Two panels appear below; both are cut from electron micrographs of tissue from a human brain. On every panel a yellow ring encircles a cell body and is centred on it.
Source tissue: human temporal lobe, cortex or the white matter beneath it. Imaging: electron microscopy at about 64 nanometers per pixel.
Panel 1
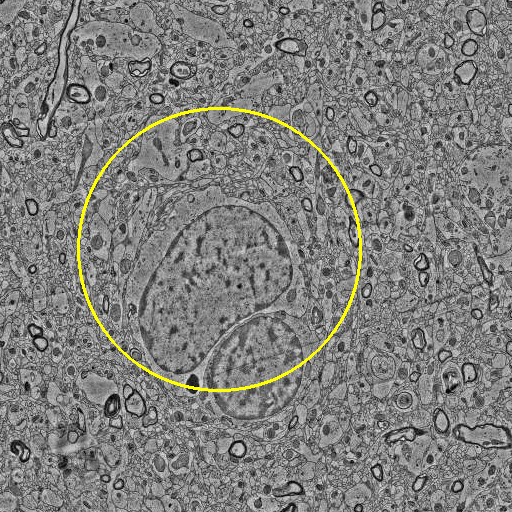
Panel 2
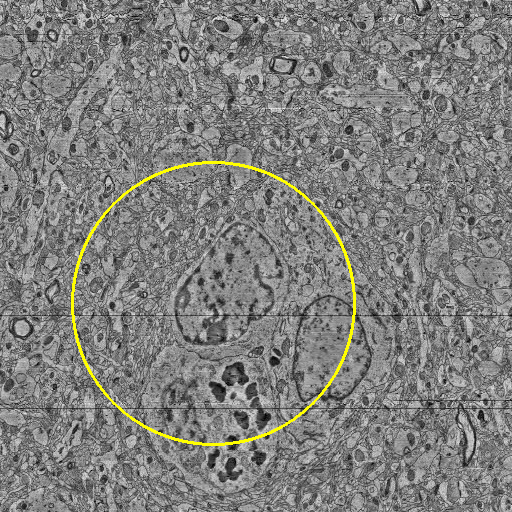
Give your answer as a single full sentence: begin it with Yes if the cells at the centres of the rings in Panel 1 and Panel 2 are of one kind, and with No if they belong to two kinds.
Yes, the cells in the middle of the rings in Panels 1 and 2 are of one kind.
